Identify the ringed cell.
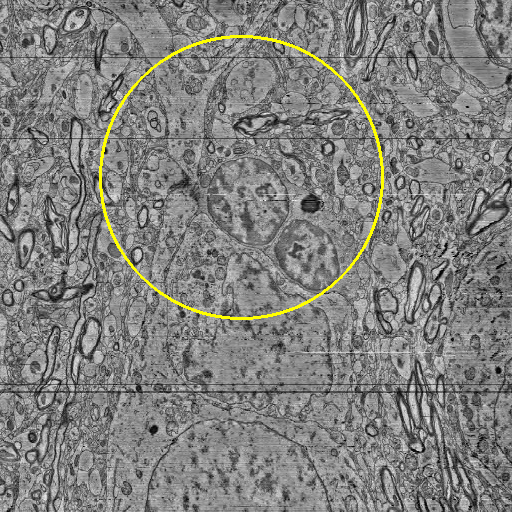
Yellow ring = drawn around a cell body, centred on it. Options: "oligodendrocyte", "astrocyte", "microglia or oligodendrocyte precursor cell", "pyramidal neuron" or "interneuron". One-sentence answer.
What the ring is centred on is an oligodendrocyte.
